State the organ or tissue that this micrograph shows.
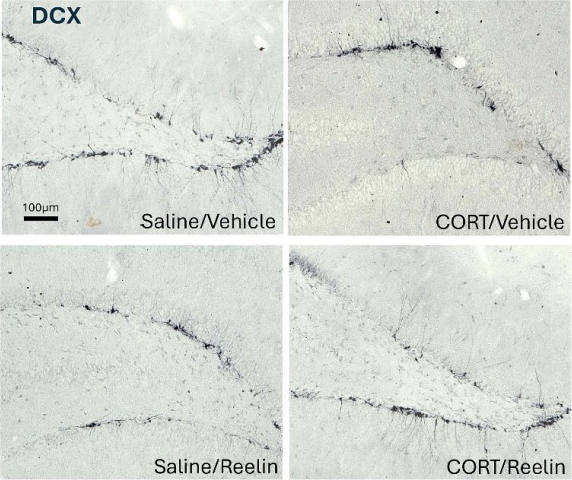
Dentate gyrus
